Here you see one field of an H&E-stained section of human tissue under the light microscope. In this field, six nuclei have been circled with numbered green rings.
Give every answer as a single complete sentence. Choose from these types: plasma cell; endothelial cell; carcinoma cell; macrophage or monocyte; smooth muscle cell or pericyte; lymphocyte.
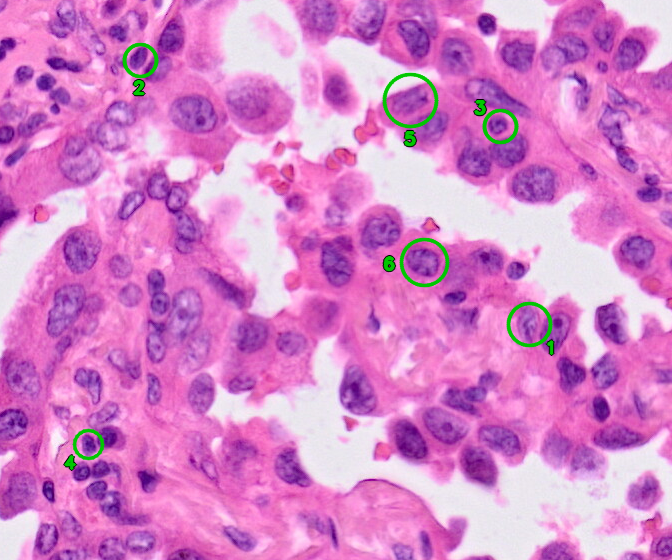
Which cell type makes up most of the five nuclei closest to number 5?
Carcinoma cells make up most of the five nuclei closest to number 5.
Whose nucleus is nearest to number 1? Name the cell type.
The cell nearest to number 1 is a carcinoma cell.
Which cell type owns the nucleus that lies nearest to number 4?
The nucleus nearest to number 4 is that of a plasma cell.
